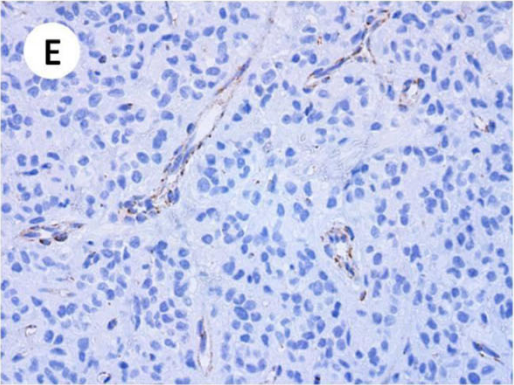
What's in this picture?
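Sheets of tumor cells with blue-counterstained oval nuclei and pale cytoplasm show no brown staining. Between them run thin-walled small vessels whose walls are stained brown.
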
